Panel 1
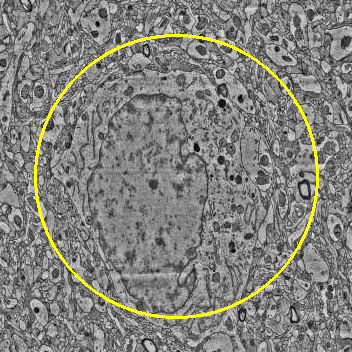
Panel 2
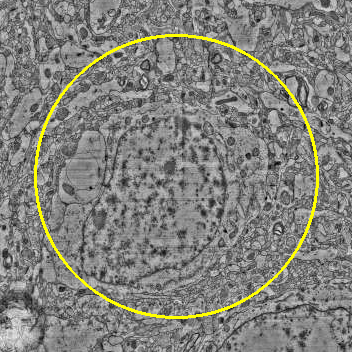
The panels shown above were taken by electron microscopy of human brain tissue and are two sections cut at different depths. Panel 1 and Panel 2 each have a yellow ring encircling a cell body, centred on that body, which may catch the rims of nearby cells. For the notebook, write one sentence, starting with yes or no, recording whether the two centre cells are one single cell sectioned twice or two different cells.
No, the yellow rings mark two separate cells, not one.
